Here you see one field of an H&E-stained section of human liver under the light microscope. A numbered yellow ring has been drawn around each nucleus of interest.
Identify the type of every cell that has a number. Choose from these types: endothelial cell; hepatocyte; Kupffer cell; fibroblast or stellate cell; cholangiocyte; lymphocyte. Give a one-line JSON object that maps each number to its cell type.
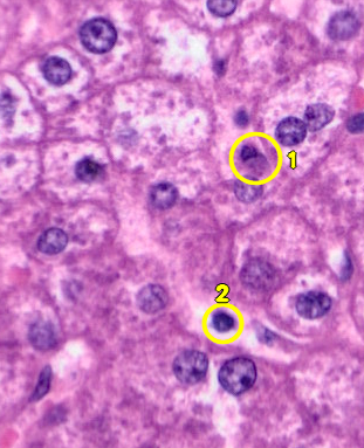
{"1": "Kupffer cell", "2": "lymphocyte"}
